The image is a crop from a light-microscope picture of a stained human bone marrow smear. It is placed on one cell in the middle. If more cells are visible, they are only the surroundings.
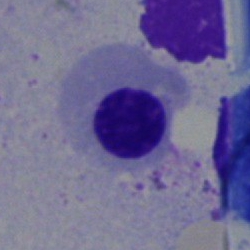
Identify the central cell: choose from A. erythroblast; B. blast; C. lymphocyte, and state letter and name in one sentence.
The one to choose is option A, as the cell in the middle is an erythroblast.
